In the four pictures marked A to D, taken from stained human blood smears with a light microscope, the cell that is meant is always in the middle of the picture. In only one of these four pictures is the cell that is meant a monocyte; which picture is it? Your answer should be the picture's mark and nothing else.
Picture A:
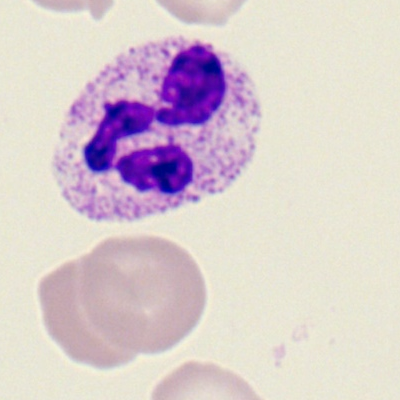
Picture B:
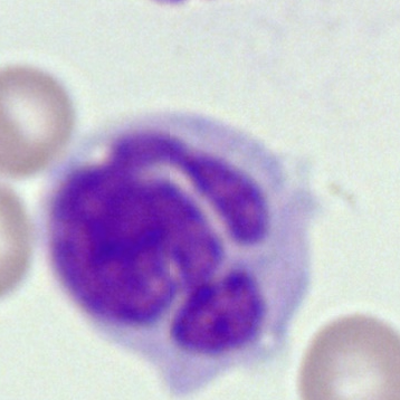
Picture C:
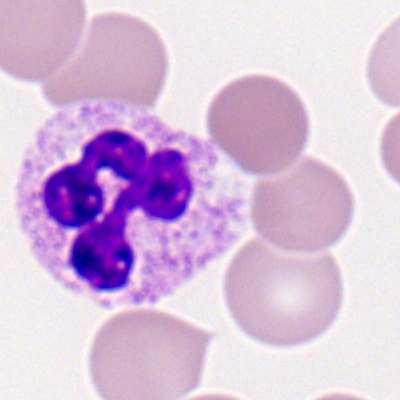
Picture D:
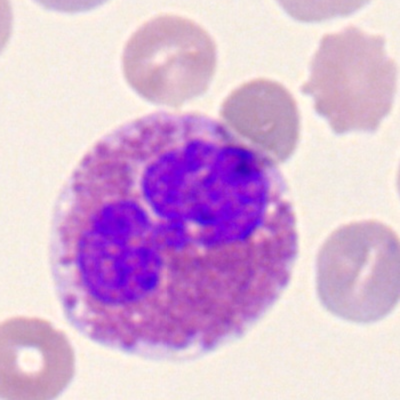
B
